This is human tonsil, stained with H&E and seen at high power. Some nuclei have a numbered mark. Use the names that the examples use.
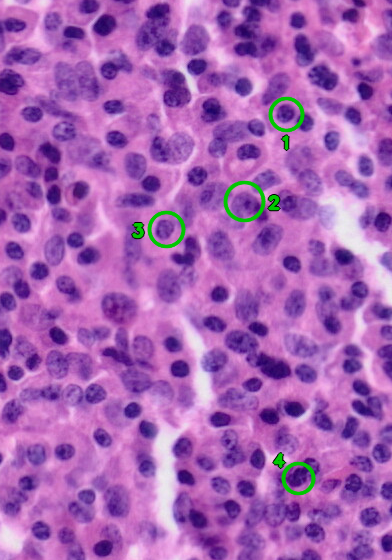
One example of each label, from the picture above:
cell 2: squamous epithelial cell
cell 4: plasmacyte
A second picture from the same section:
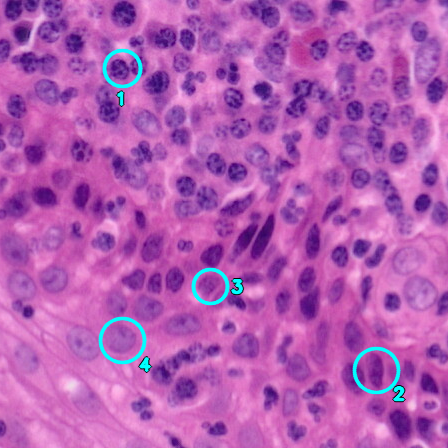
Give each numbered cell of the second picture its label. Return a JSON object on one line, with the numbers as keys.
{"1": "plasmacyte", "2": "squamous epithelial cell", "3": "squamous epithelial cell", "4": "squamous epithelial cell"}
